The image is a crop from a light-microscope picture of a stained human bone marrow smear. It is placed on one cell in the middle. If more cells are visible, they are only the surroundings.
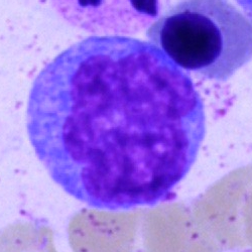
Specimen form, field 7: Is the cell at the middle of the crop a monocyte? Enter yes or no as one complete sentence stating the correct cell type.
Yes, the cell at the midpoint of the crop is a monocyte.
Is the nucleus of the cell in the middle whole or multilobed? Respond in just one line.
One compact mass makes up the whole nucleus, round, oval or kidney-shaped.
